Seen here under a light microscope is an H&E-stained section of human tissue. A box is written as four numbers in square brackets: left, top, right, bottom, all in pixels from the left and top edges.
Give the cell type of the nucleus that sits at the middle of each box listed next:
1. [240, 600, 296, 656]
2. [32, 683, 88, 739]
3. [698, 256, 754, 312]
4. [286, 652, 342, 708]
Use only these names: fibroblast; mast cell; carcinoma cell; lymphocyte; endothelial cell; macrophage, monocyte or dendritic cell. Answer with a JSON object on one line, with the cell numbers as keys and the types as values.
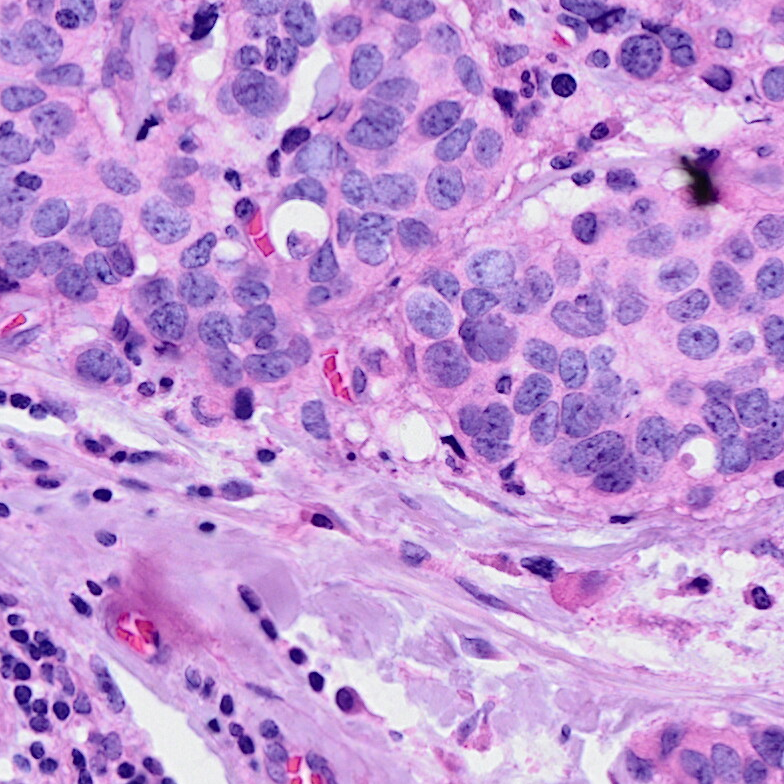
{"1": "lymphocyte", "2": "lymphocyte", "3": "carcinoma cell", "4": "lymphocyte"}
